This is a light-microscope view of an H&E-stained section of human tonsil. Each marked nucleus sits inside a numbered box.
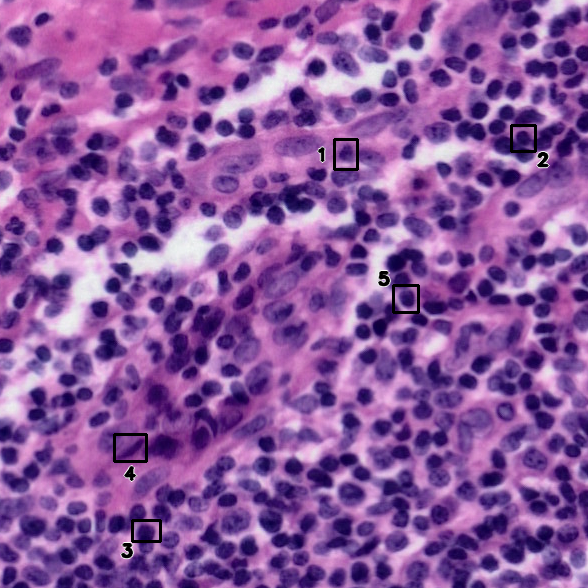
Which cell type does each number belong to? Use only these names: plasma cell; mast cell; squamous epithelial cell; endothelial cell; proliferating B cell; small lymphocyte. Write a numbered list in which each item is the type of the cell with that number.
1. endothelial cell
2. small lymphocyte
3. small lymphocyte
4. endothelial cell
5. small lymphocyte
